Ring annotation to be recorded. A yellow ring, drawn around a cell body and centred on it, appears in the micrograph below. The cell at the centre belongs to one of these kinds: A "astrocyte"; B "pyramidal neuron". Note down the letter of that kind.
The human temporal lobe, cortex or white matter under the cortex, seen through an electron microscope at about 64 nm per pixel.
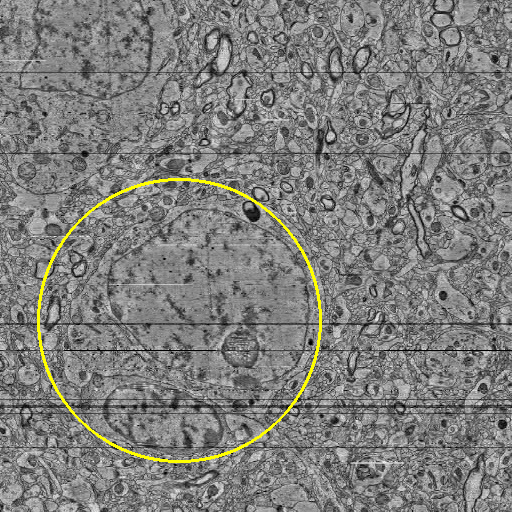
B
